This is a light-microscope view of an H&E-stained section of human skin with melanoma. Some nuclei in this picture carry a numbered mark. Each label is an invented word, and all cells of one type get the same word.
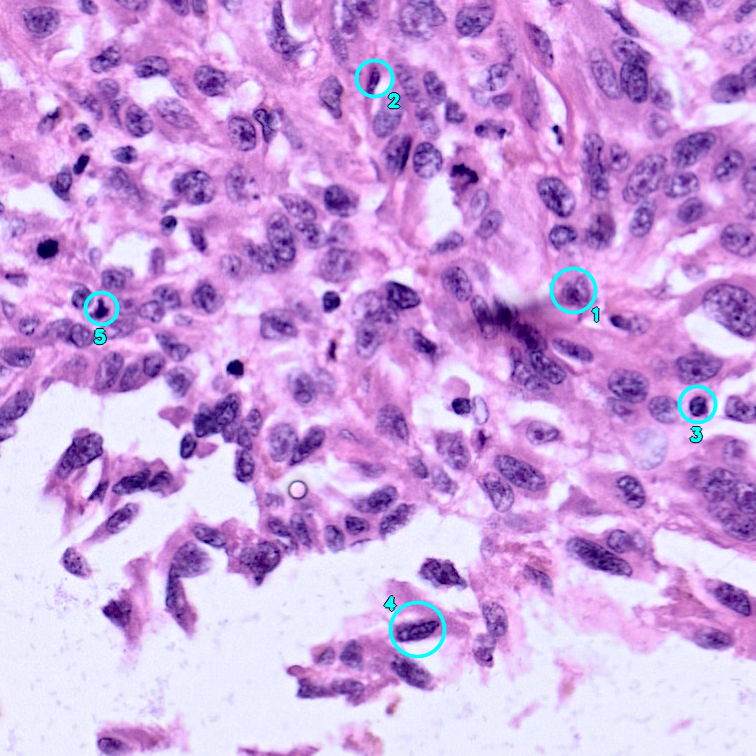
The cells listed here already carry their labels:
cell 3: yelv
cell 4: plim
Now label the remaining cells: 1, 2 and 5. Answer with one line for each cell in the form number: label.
1: plim
2: plim
5: yelv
